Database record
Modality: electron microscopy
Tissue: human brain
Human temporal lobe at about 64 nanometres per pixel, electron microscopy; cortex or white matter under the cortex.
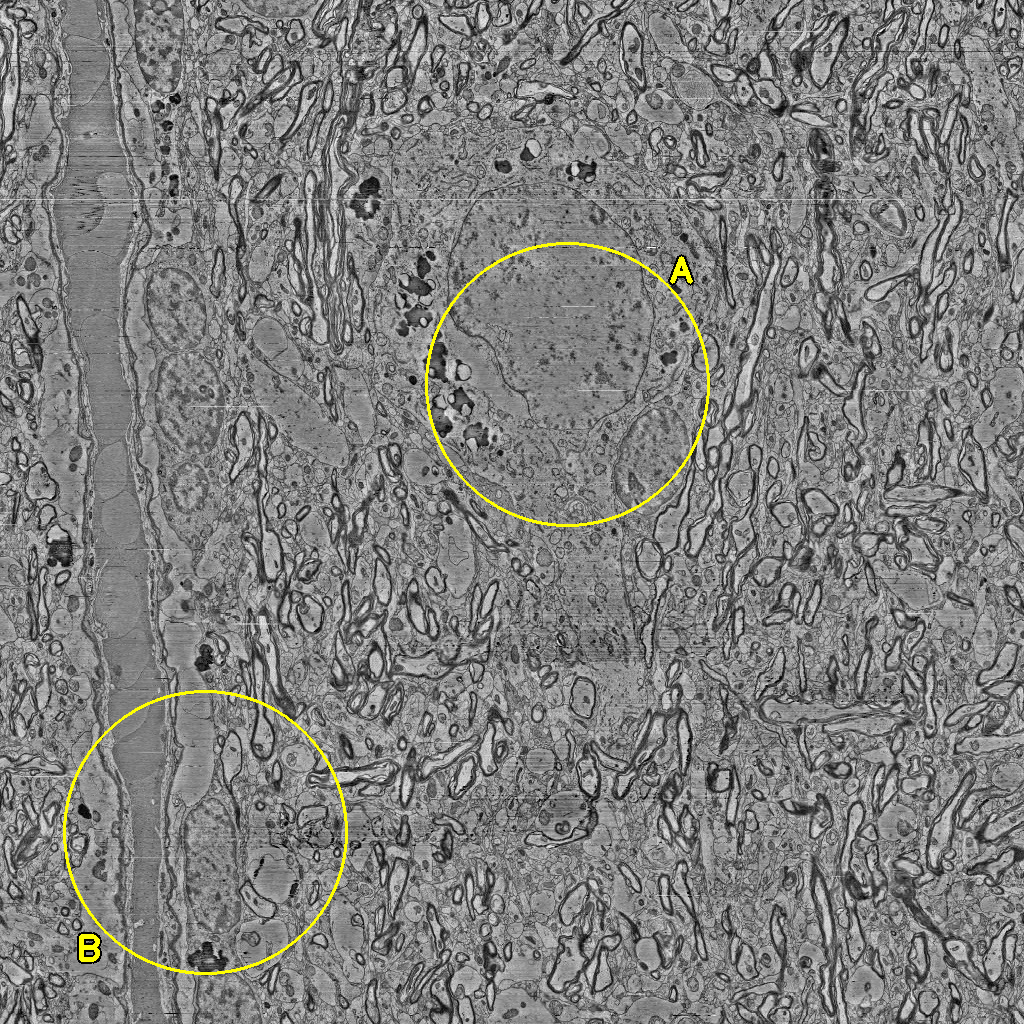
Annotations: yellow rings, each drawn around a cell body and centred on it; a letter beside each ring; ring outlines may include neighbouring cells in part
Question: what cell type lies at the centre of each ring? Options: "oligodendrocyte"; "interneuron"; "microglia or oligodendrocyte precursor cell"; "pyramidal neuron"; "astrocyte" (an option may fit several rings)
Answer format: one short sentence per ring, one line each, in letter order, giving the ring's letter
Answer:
Ring A corresponds to a pyramidal neuron.
Ring B corresponds to an oligodendrocyte.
